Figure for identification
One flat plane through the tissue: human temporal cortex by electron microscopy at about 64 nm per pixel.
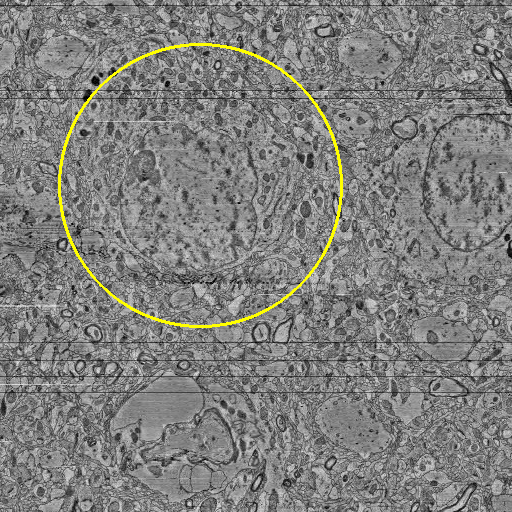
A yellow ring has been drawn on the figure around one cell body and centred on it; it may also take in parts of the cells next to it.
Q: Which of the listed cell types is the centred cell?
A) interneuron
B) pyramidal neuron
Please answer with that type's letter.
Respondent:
A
